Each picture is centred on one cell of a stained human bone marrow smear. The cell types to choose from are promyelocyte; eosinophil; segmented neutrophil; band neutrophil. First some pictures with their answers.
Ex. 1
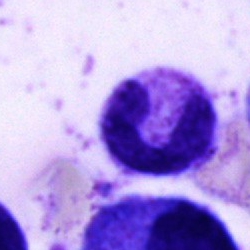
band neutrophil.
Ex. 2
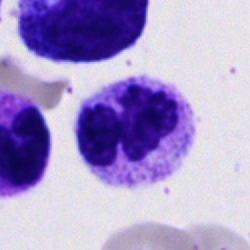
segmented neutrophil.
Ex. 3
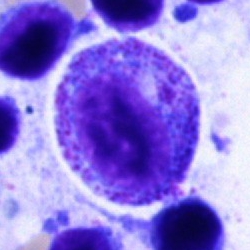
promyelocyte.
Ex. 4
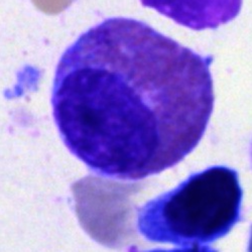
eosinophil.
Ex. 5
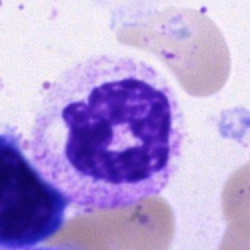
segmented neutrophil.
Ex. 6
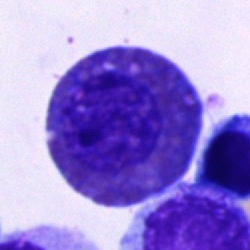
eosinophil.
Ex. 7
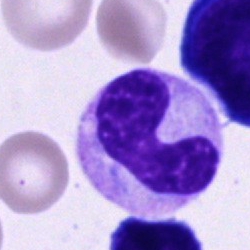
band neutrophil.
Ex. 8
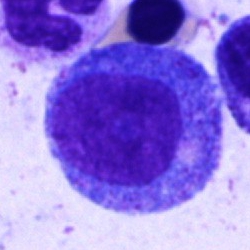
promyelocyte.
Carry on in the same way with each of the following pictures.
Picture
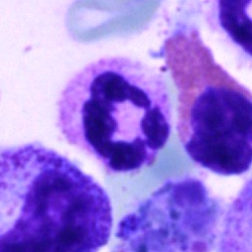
segmented neutrophil.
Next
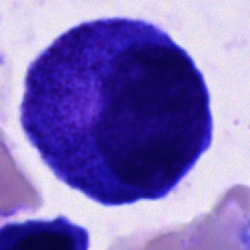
promyelocyte.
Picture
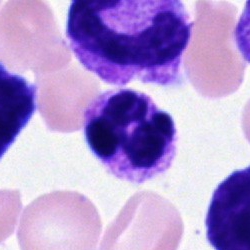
segmented neutrophil.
